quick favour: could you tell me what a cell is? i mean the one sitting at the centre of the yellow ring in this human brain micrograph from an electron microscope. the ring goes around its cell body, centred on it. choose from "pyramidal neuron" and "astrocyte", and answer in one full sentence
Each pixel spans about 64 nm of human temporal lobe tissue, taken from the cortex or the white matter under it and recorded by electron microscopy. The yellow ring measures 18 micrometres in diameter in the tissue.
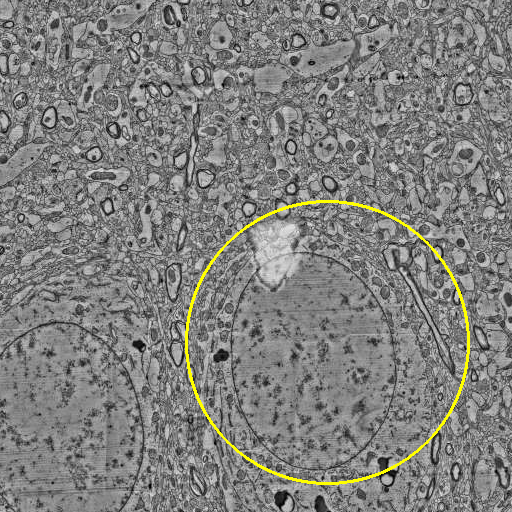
That's a pyramidal neuron, the cell sitting at the centre of the yellow ring.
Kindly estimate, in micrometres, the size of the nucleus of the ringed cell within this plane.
In this plane the nucleus spans approximately 14 by 11 micrometers.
